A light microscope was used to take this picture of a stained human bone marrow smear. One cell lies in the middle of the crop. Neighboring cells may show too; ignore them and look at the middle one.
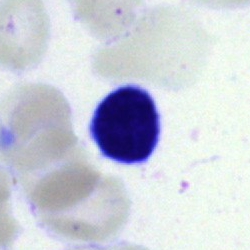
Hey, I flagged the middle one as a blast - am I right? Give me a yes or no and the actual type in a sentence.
No, the centered cell is a lymphocyte and not a blast at all.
